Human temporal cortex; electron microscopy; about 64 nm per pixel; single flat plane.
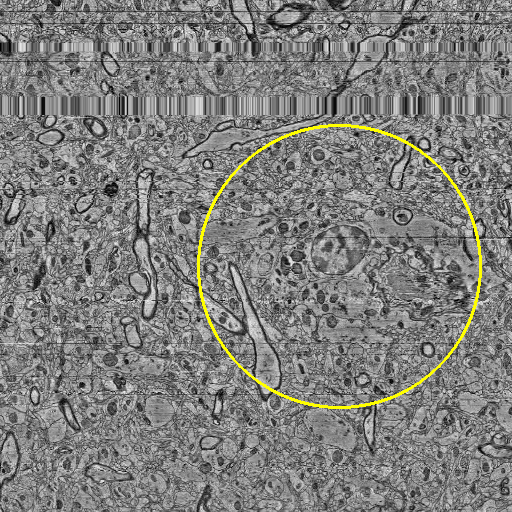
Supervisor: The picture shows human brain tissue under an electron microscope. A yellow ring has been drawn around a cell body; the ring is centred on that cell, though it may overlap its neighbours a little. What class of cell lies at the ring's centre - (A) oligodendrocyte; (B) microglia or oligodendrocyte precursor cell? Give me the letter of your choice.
B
